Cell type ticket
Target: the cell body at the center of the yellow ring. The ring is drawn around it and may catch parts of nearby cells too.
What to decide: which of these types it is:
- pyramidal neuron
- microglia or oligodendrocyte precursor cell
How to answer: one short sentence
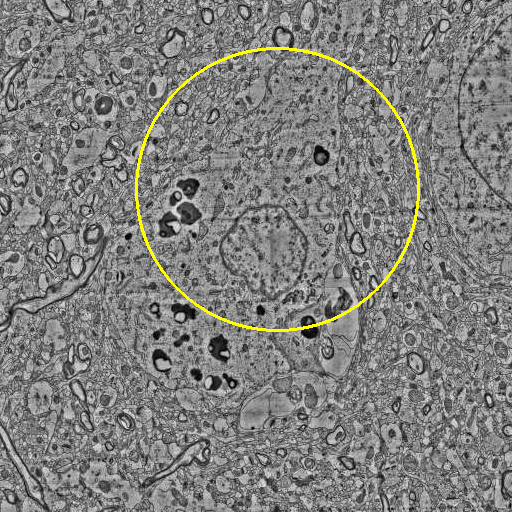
The cell at the center of the ring is a pyramidal neuron.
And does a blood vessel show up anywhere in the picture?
No, there is no blood vessel in the image.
